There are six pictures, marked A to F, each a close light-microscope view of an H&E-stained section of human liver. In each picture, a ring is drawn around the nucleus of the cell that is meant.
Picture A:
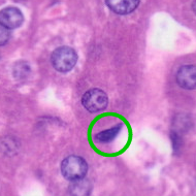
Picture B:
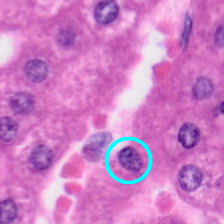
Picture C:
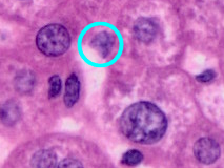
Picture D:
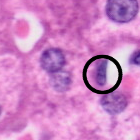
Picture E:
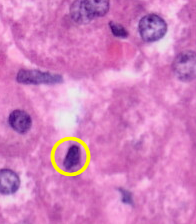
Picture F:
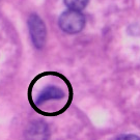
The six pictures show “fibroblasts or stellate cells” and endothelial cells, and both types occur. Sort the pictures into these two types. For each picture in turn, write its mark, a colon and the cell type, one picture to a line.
A: fibroblast or stellate cell
B: fibroblast or stellate cell
C: endothelial cell
D: endothelial cell
E: fibroblast or stellate cell
F: fibroblast or stellate cell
